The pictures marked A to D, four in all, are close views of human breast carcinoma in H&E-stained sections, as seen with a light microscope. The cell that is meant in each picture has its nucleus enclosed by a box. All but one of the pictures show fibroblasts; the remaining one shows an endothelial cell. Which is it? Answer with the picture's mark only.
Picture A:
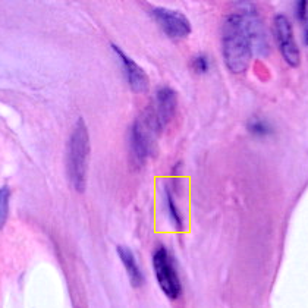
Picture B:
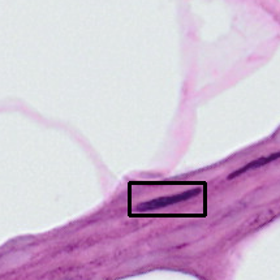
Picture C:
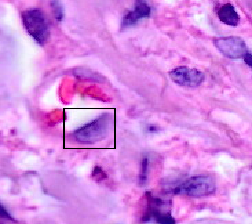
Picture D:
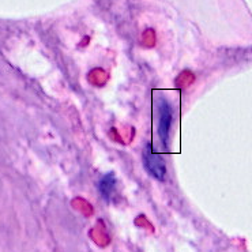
C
